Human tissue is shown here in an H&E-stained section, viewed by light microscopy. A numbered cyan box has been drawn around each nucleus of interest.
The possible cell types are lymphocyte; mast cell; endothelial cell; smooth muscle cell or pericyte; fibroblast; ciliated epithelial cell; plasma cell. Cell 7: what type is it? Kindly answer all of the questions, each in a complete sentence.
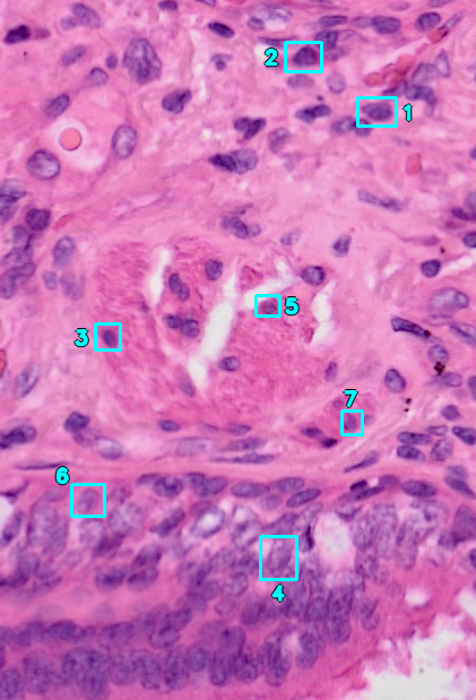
The cell referenced by the number 7 is a smooth muscle cell or pericyte in this field.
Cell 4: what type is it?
Cell 4, as marked in the section, is a ciliated epithelial cell.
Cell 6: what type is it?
The cell tagged with 6 in this tissue section is a ciliated epithelial cell.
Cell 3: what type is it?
Numbered cell 3 is a smooth muscle cell or pericyte in this tissue section.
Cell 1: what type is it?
The cell assigned the number 1 is a lymphocyte.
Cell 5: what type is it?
In the marked set, the cell given number 5 is a smooth muscle cell or pericyte.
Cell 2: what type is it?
Recognised here as a plasma cell is the cell numbered 2.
